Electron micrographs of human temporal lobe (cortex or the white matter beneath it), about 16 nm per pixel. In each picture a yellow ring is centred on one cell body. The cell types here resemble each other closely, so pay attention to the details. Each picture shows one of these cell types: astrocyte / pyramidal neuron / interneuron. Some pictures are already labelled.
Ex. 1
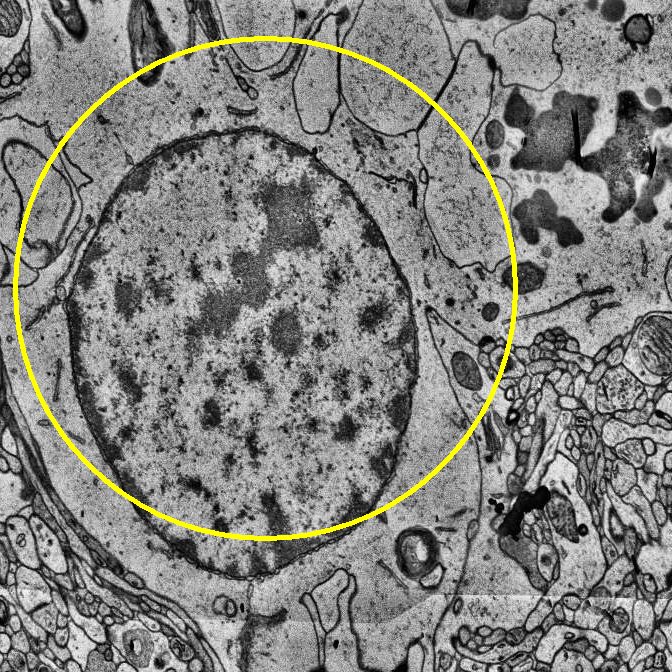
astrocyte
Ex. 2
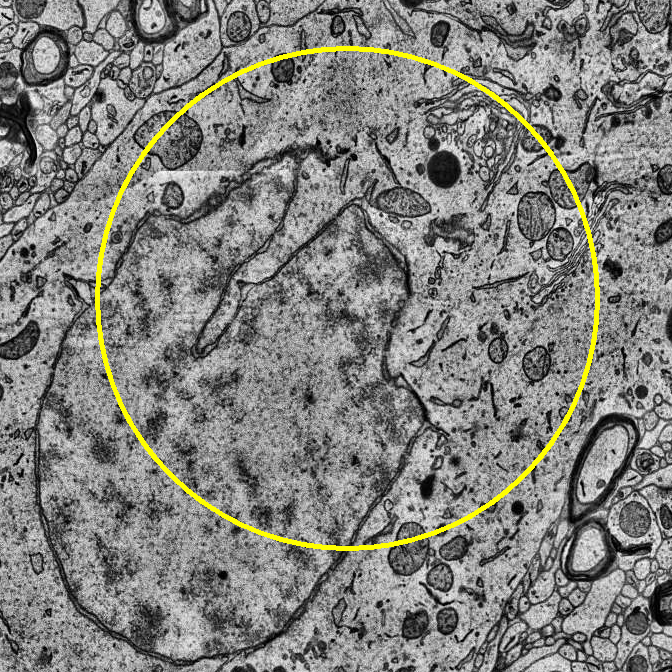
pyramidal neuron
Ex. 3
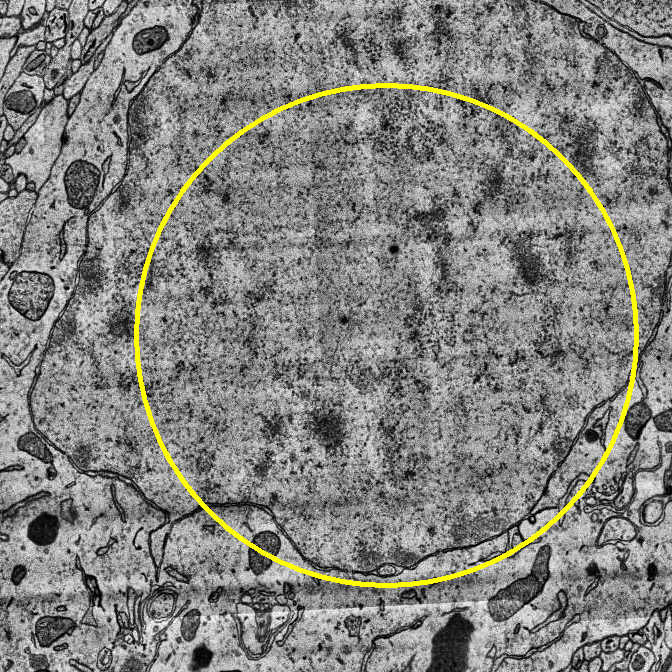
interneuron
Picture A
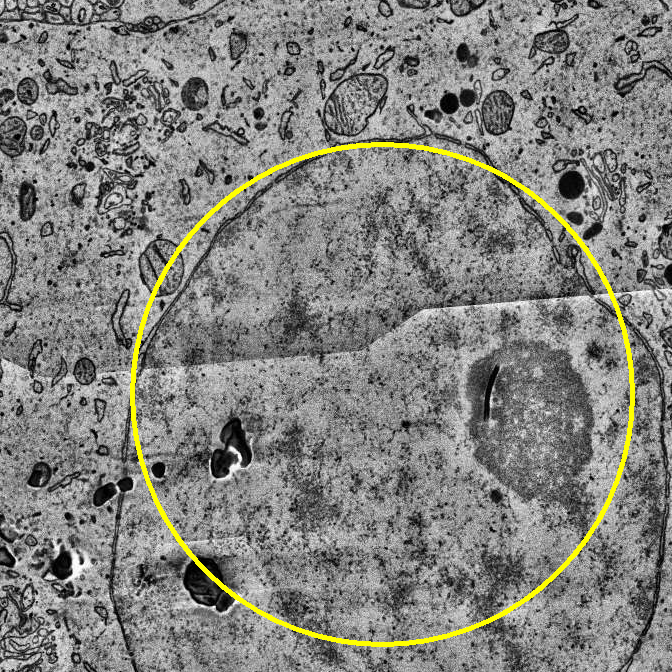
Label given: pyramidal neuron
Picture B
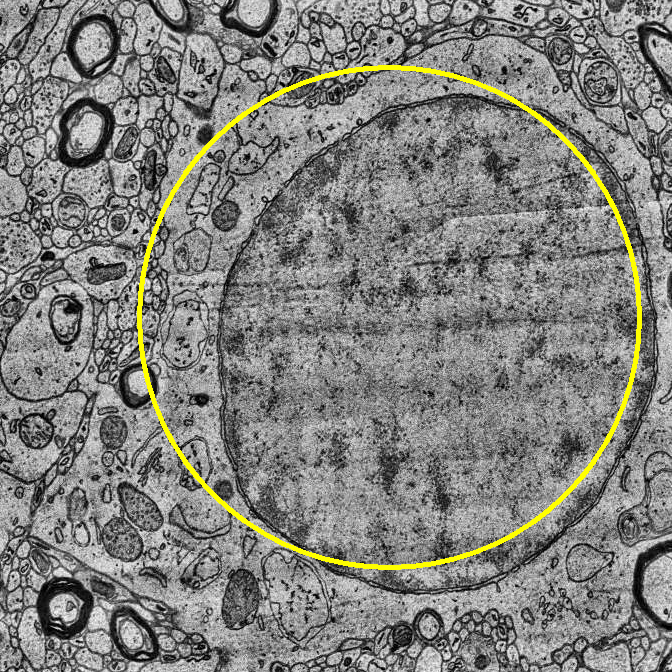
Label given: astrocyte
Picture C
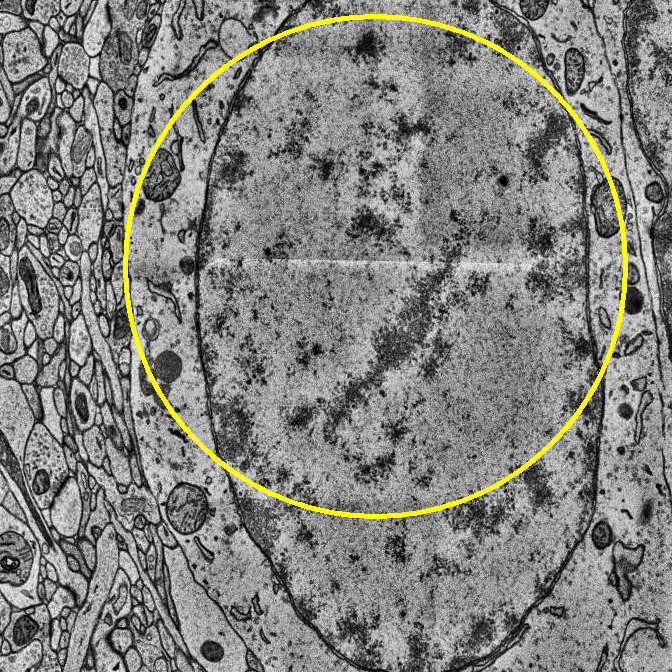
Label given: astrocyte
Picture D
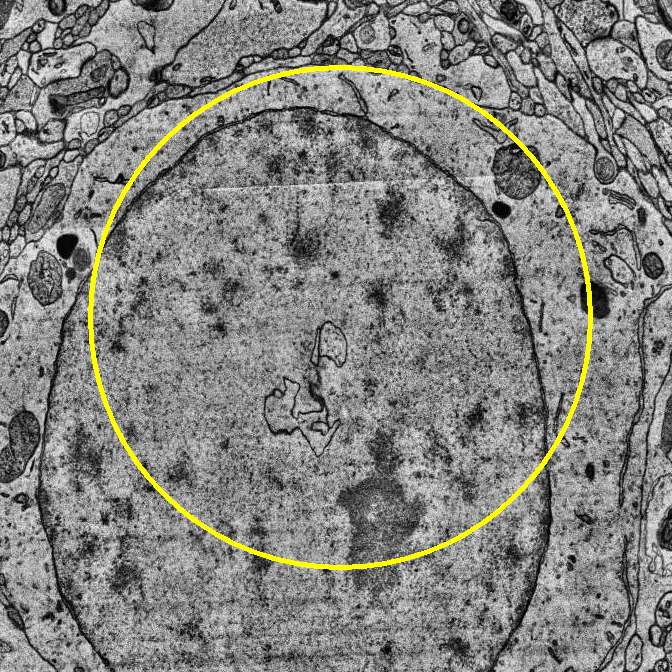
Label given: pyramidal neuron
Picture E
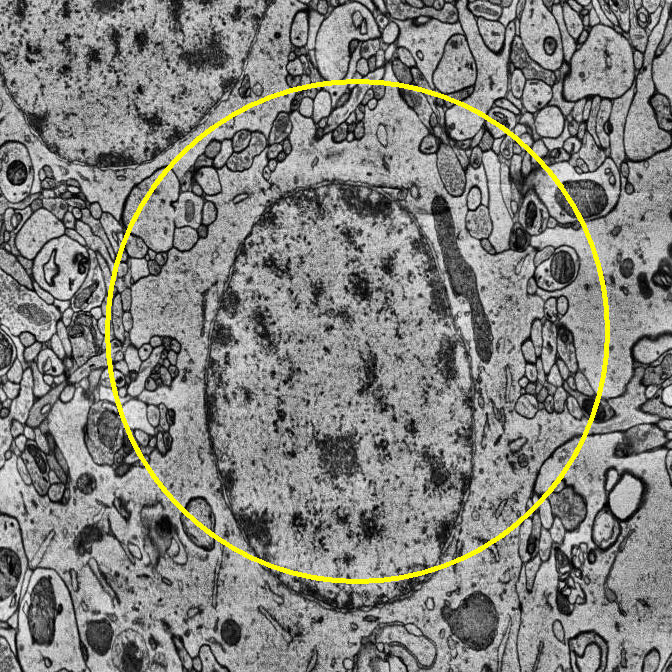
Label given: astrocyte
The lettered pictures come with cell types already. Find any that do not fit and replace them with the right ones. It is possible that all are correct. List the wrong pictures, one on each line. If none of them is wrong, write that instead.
C should be pyramidal neuron, not astrocyte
